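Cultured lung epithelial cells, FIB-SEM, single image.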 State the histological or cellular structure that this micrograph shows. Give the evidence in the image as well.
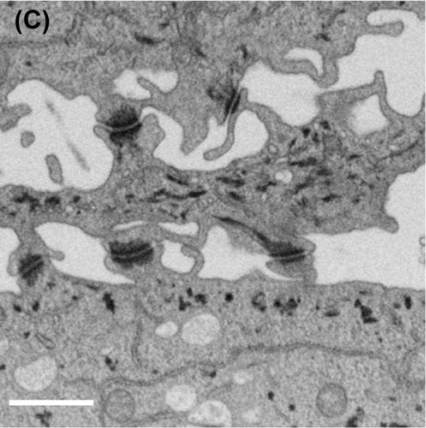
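Several short, dense, paired plaques join the membranes of neighbouring cells. Pale extracellular spaces lie between the cells except at these junctions. On this evidence: desmosomes.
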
